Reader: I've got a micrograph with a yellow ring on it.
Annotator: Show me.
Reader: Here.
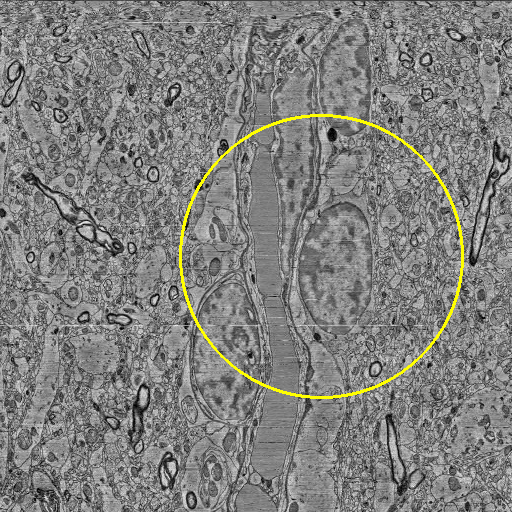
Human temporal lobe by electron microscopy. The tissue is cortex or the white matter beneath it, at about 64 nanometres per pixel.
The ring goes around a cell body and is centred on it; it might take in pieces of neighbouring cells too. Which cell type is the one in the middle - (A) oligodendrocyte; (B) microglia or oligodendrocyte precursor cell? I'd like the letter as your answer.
A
